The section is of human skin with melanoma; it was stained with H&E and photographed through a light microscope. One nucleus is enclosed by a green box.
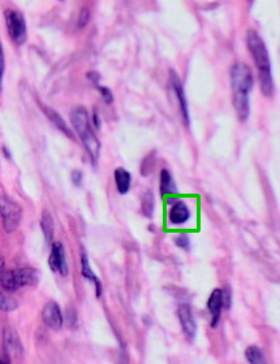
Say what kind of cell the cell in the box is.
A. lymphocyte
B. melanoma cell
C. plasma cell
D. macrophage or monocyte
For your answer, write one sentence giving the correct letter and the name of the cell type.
Under option A, the cell in the box is a lymphocyte, which is the correct identification.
